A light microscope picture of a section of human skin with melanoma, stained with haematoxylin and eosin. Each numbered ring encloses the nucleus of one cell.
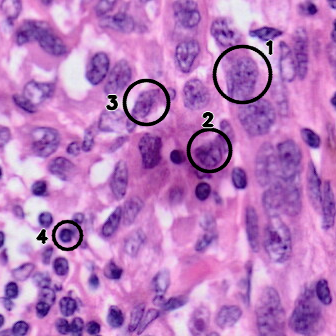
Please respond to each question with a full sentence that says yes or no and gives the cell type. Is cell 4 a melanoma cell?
No, cell 4 does not represent a melanoma cell; it represents a lymphocyte.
